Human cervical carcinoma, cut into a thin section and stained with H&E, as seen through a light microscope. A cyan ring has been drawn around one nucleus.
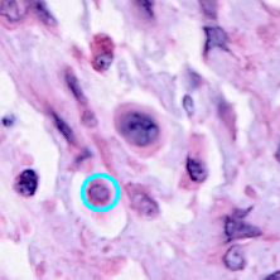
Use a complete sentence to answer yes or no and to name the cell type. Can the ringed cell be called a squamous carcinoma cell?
No, the ringed cell is put down as a macrophage or monocyte, not as a squamous carcinoma cell.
